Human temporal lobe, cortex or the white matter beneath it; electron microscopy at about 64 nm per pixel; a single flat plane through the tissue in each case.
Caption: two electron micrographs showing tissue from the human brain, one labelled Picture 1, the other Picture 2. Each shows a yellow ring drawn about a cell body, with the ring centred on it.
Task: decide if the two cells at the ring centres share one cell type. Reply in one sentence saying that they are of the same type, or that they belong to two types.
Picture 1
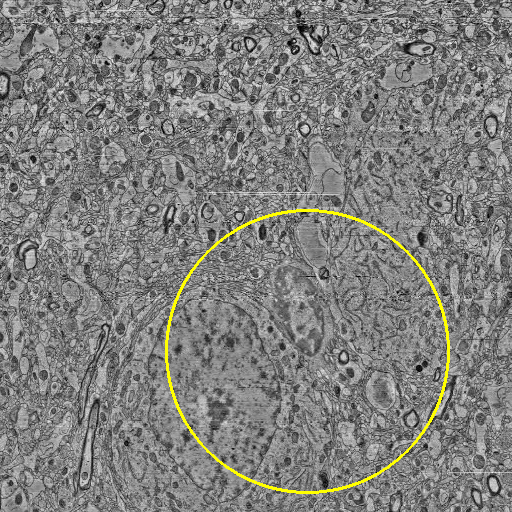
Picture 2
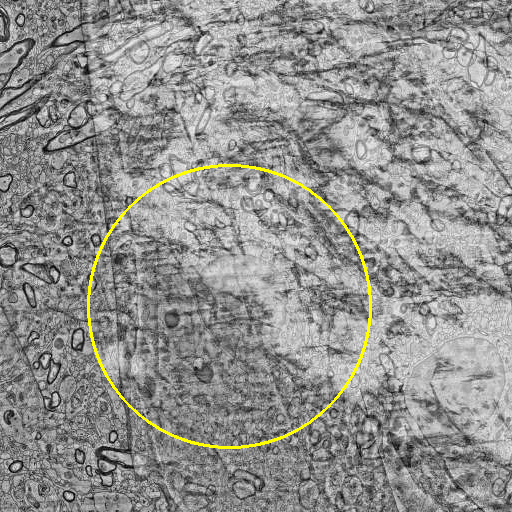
The cells at the ring centres in Picture 1 and Picture 2 are of the same type.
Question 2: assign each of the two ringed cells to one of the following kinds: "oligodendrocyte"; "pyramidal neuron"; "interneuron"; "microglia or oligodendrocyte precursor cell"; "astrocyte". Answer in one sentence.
Both rings mark an oligodendrocyte, one in each picture.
